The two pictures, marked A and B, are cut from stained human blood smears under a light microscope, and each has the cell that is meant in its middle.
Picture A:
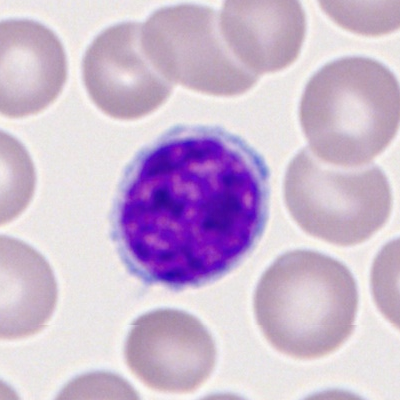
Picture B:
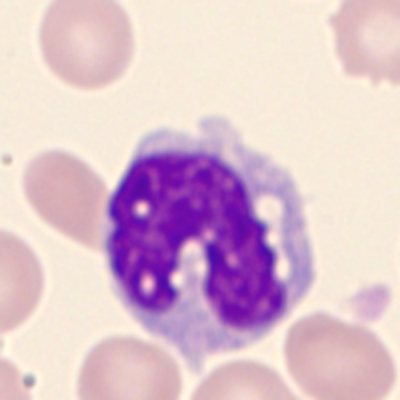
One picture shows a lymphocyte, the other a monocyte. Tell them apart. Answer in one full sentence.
Picture A shows a lymphocyte and picture B shows a monocyte.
